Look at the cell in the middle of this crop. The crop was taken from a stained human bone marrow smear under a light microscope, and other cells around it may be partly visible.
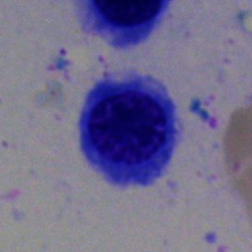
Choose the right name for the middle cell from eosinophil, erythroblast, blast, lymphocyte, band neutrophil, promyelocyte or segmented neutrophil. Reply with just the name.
erythroblast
